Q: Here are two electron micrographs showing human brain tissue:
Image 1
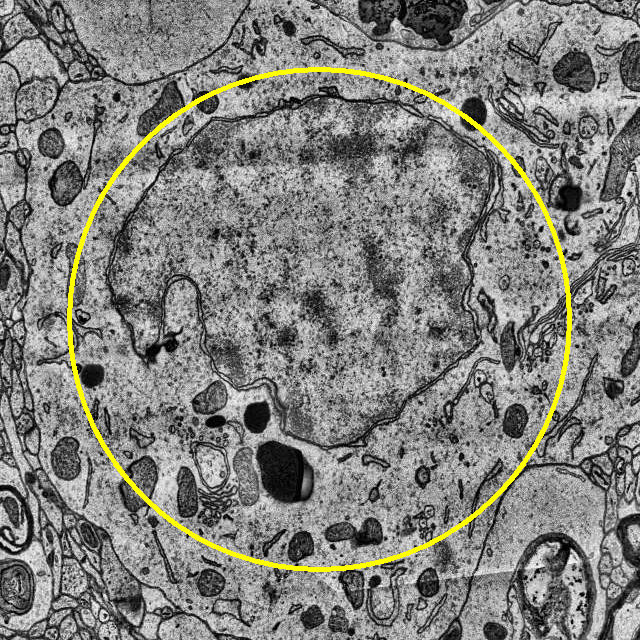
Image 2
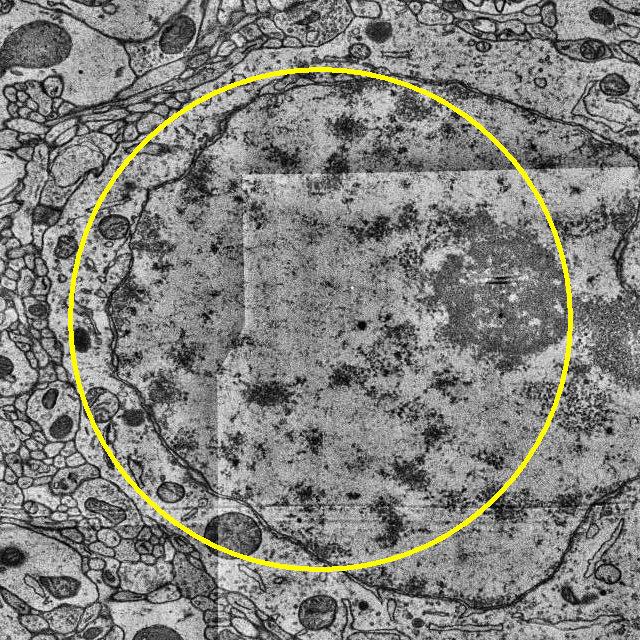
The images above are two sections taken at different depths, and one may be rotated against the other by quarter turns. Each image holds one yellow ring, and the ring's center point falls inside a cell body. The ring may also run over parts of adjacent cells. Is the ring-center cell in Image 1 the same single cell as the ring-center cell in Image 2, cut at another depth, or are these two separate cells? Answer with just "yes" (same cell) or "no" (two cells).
no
